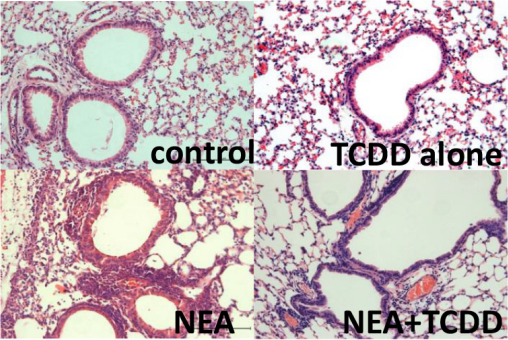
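Four views of lung tissue stained pink and purple show cross-sectioned airways set in alveolar parenchyma. The alveoli form a fine network of thin septa around open air spaces. In the lower left view, a dense band of purple-nucleated cells thickens the tissue around the airways and neighbouring vessels. In the lower right view, vessels next to the airways are filled with red blood cells.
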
